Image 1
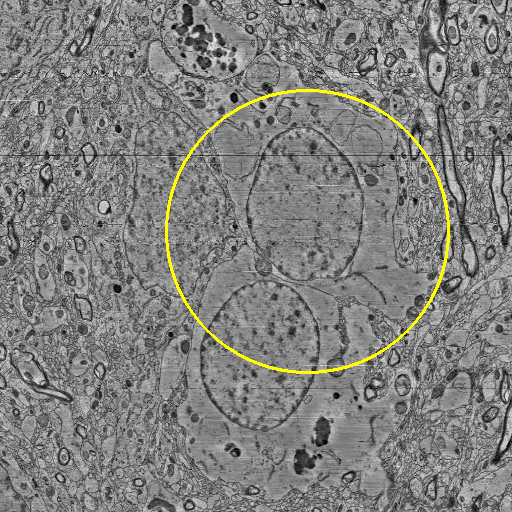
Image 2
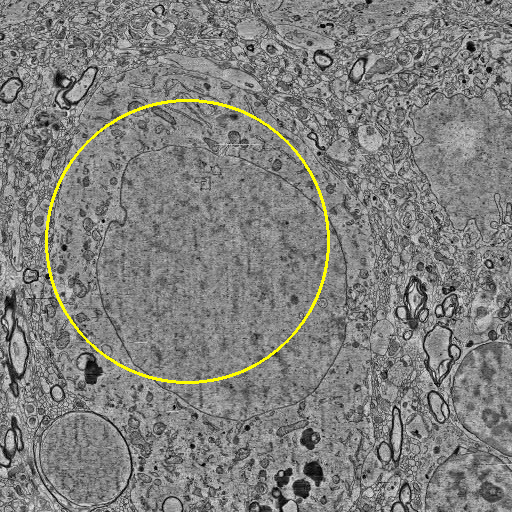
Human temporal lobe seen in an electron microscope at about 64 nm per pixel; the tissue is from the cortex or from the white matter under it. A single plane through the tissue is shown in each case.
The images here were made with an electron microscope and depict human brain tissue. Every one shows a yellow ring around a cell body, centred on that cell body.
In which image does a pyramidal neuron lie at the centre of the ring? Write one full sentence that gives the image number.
My answer is image 2, where the asked-for cell sits at the centre of the ring.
